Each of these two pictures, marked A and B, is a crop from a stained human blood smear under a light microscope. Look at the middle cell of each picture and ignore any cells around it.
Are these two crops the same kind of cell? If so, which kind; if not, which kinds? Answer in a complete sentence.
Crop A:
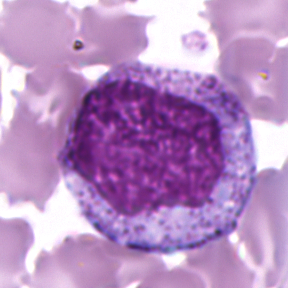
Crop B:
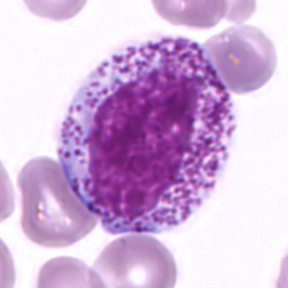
Yes, the two crops are alike in showing myelocytes.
